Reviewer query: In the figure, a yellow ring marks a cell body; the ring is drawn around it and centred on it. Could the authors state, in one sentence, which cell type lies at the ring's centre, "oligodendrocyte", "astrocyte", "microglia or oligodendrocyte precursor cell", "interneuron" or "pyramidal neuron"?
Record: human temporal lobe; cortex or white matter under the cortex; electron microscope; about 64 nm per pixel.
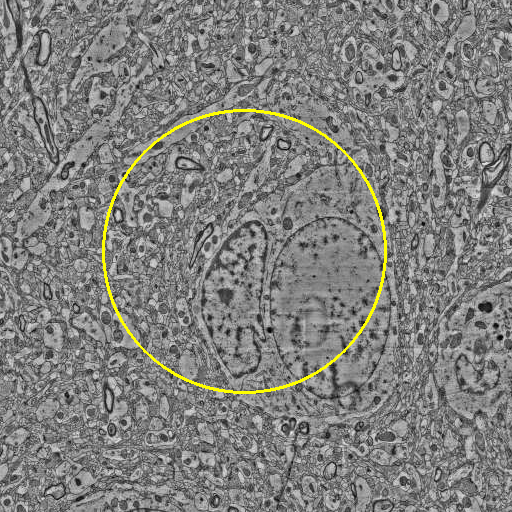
The ring is centred on a microglial cell or oligodendrocyte precursor cell.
